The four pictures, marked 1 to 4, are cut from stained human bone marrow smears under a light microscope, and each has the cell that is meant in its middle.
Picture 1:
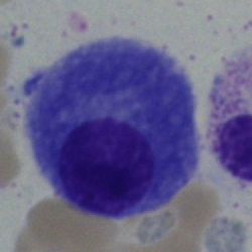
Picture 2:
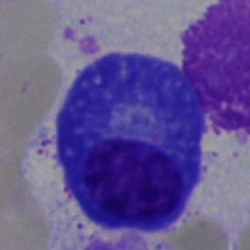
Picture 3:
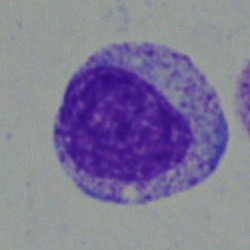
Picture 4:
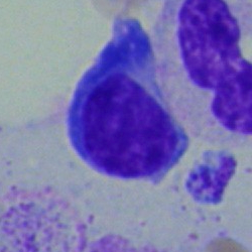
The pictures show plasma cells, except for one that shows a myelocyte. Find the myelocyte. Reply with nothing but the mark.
3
